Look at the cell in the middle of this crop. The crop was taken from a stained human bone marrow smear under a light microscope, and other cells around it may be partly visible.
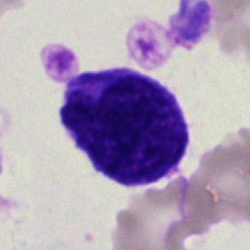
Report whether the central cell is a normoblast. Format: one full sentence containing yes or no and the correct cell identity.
No, the cell at the centre of the crop corresponds to a blast, not a normoblast.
